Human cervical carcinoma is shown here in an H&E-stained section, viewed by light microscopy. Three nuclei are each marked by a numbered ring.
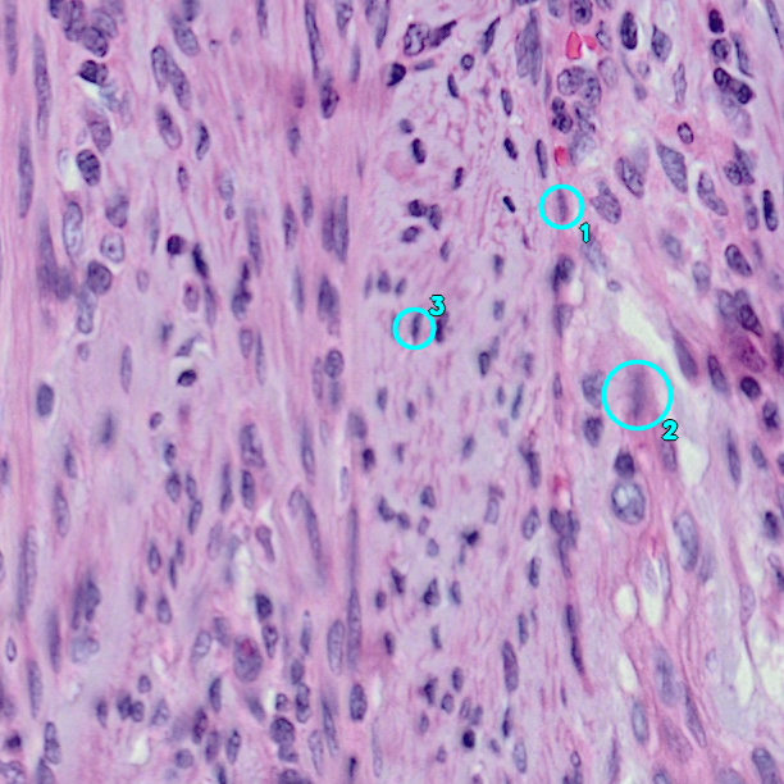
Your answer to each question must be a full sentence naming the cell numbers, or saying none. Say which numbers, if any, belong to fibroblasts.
Cell 3 is a fibroblast, which is true of none of the other numbered cells.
